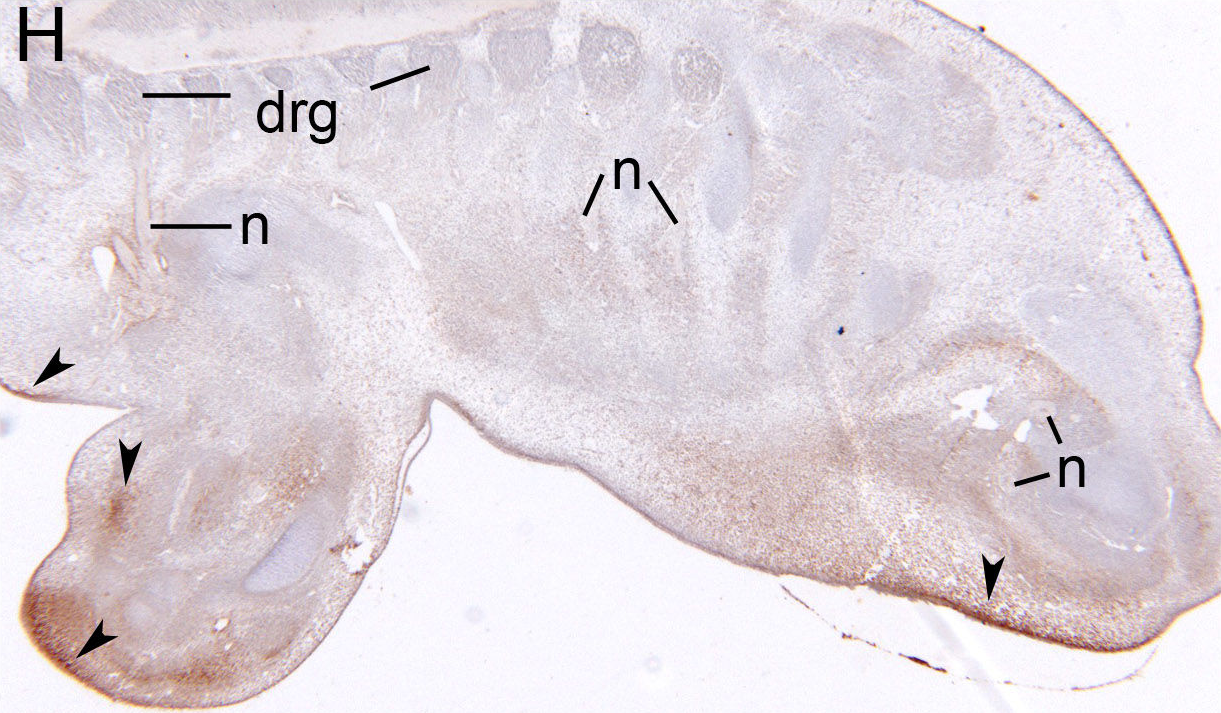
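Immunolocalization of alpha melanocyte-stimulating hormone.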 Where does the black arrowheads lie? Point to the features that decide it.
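Arrowheads point to brown patches just beneath the surface layer. The patches lie in the limb buds and flank, not deep inside.
Subectodermal dermis regions.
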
